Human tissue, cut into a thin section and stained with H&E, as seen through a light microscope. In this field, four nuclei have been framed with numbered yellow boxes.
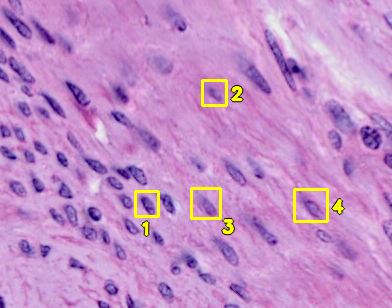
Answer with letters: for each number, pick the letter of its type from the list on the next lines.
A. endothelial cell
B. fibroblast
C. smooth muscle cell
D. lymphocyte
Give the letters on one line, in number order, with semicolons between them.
B; C; C; C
